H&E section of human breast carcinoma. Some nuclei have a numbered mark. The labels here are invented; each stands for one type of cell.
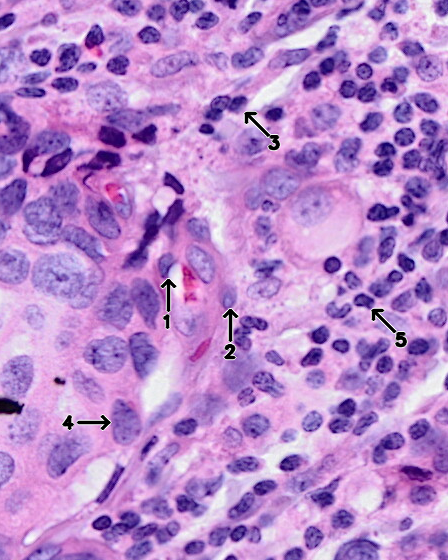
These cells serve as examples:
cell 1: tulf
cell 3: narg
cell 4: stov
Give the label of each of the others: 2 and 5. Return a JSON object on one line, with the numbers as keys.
{"2": "tulf", "5": "narg"}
